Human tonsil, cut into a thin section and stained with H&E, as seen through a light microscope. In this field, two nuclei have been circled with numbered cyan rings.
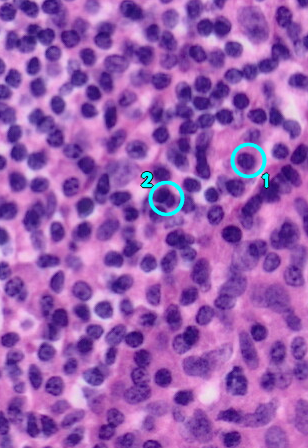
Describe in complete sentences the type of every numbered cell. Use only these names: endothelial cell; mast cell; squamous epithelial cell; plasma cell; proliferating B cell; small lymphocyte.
Cell 1 is a plasma cell and cell 2 is a small lymphocyte.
